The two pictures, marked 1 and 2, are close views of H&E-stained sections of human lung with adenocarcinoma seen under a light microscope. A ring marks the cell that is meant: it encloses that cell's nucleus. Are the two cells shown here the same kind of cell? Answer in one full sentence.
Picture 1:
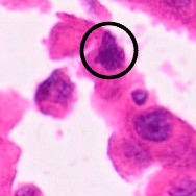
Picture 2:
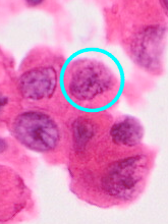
Yes, they are the same type: both are carcinoma cells.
